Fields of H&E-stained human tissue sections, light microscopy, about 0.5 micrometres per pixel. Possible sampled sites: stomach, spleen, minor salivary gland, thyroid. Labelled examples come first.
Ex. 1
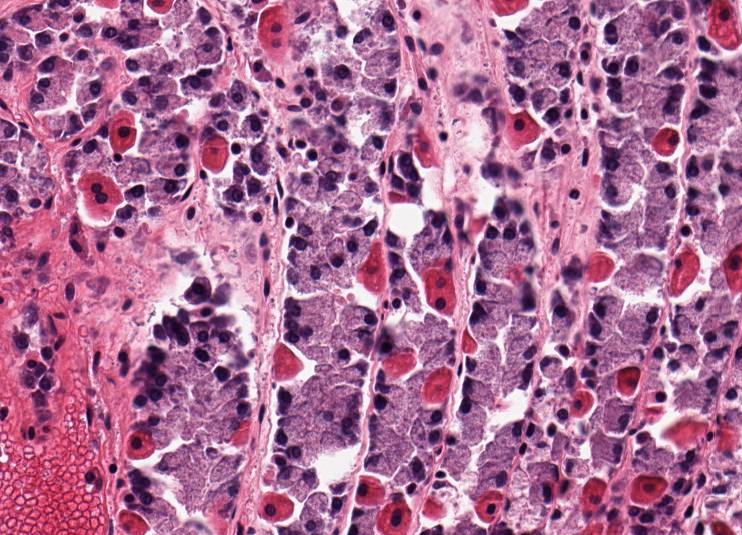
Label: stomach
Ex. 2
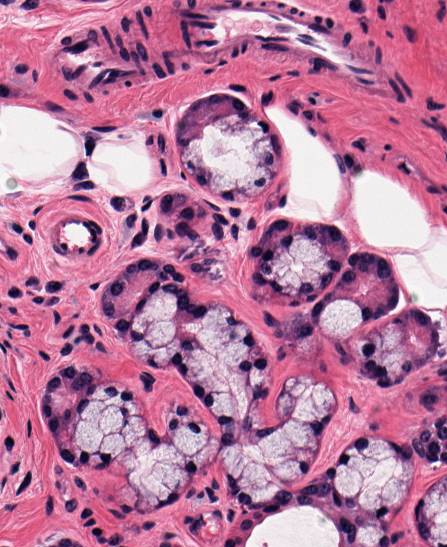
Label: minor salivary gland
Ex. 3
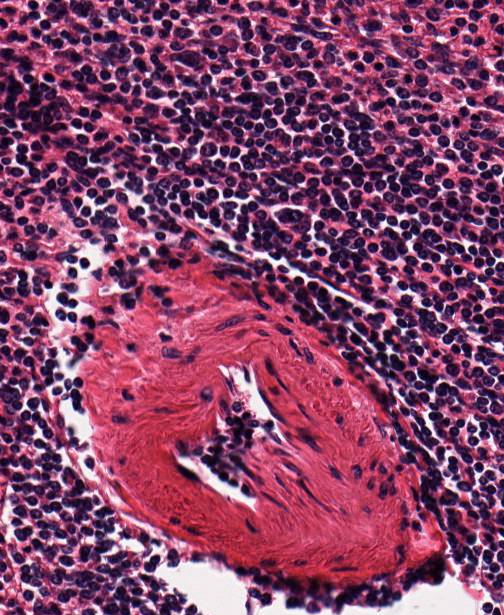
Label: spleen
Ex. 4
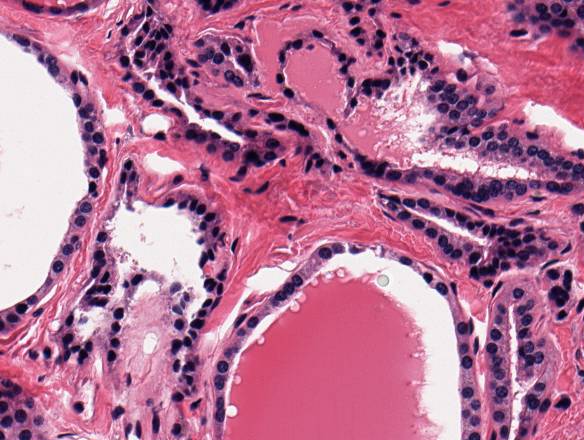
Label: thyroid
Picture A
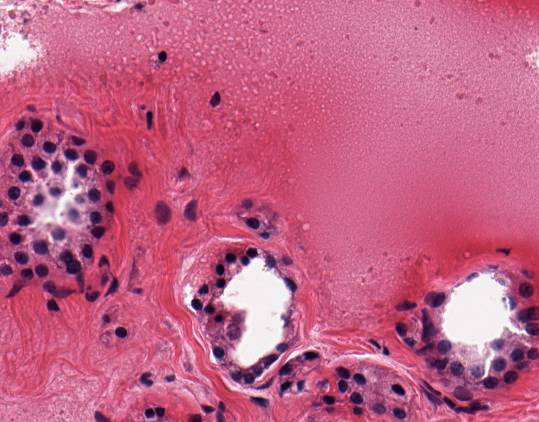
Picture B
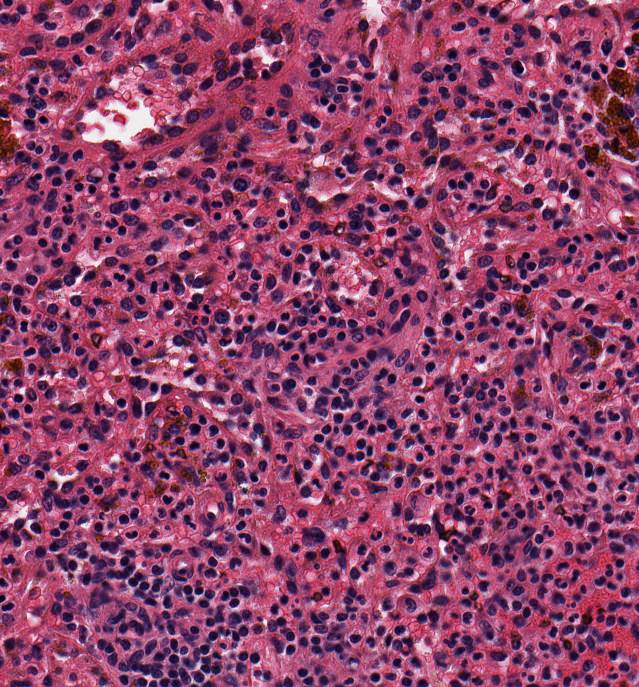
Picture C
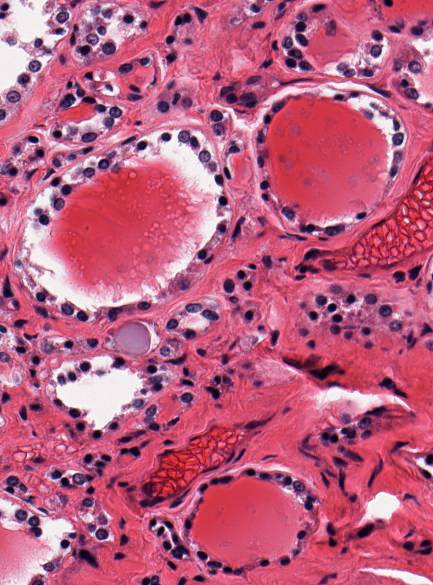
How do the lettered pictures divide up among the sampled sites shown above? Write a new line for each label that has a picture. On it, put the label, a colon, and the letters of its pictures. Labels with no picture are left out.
spleen: B
thyroid: A, C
